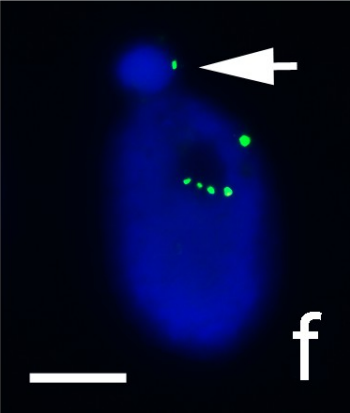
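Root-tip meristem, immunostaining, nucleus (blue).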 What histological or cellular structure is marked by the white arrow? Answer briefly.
Micronucleus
